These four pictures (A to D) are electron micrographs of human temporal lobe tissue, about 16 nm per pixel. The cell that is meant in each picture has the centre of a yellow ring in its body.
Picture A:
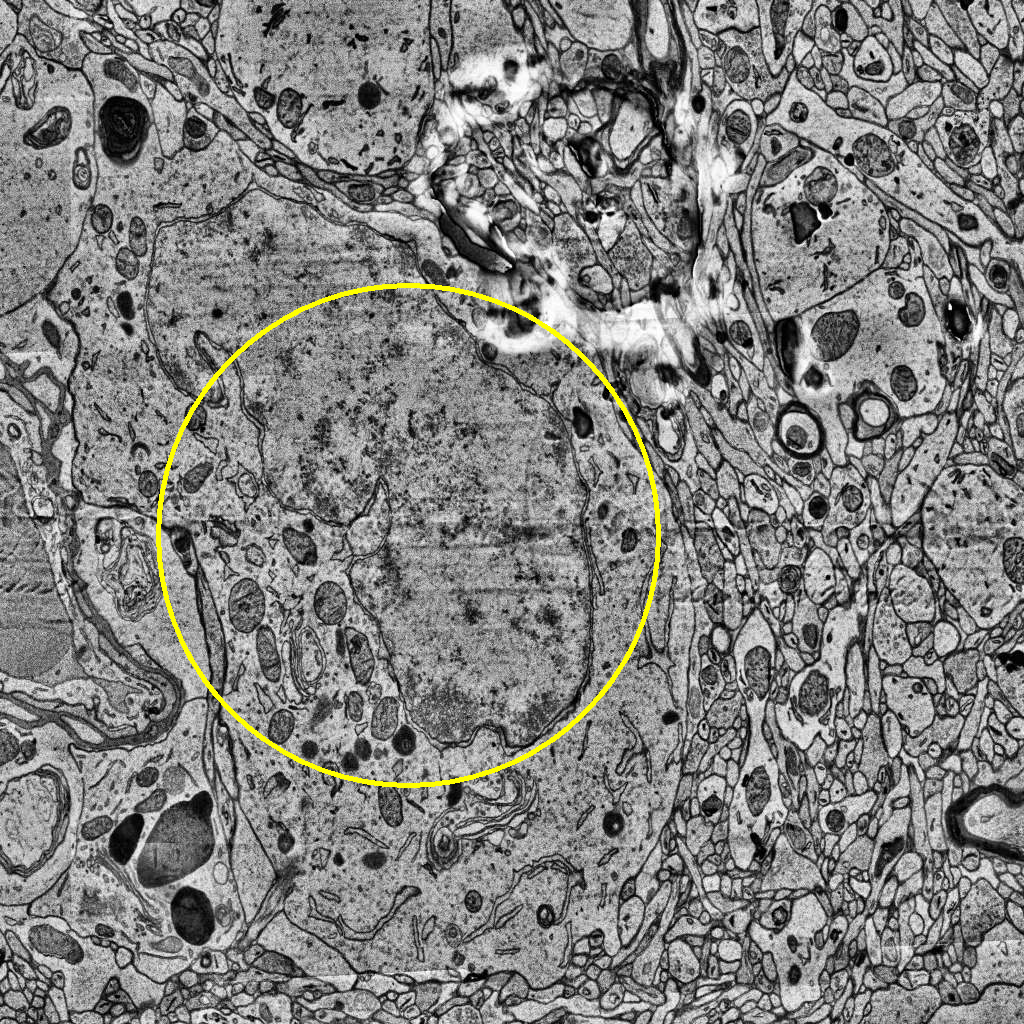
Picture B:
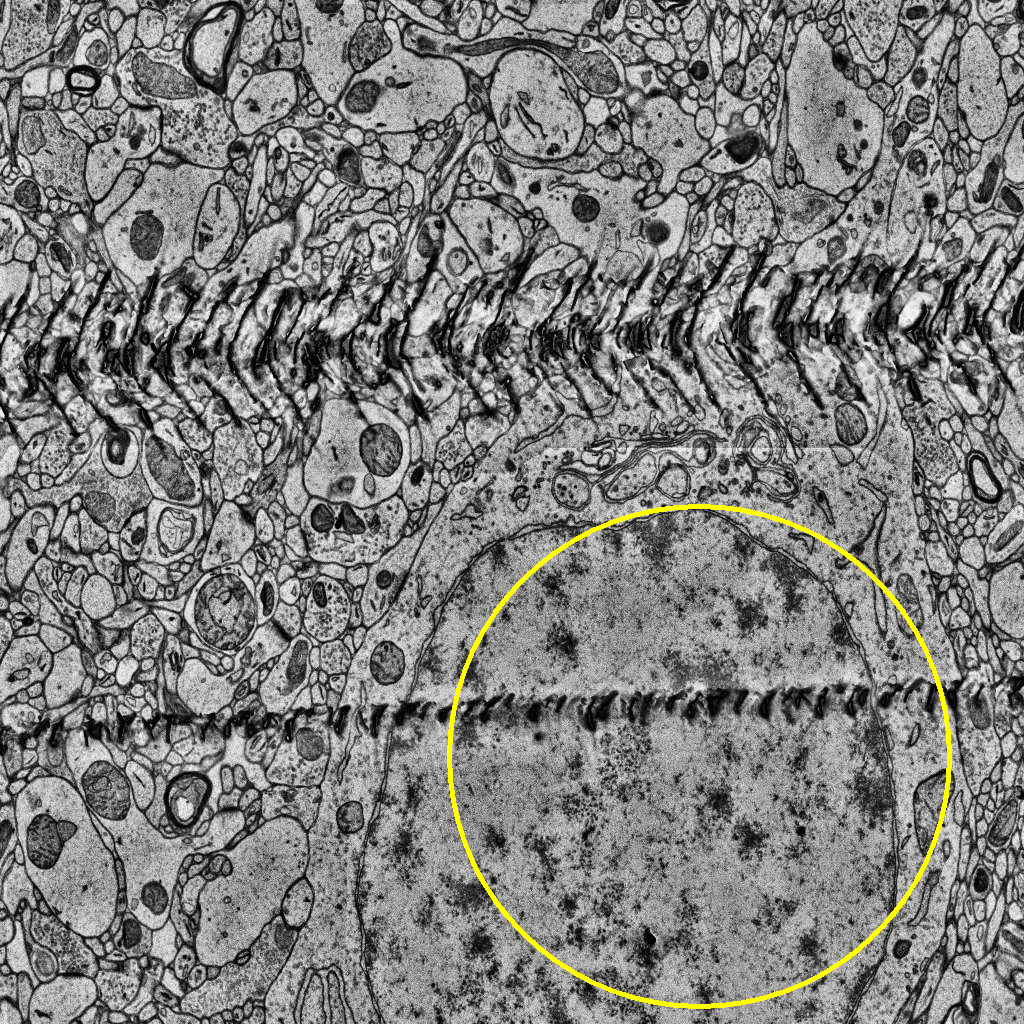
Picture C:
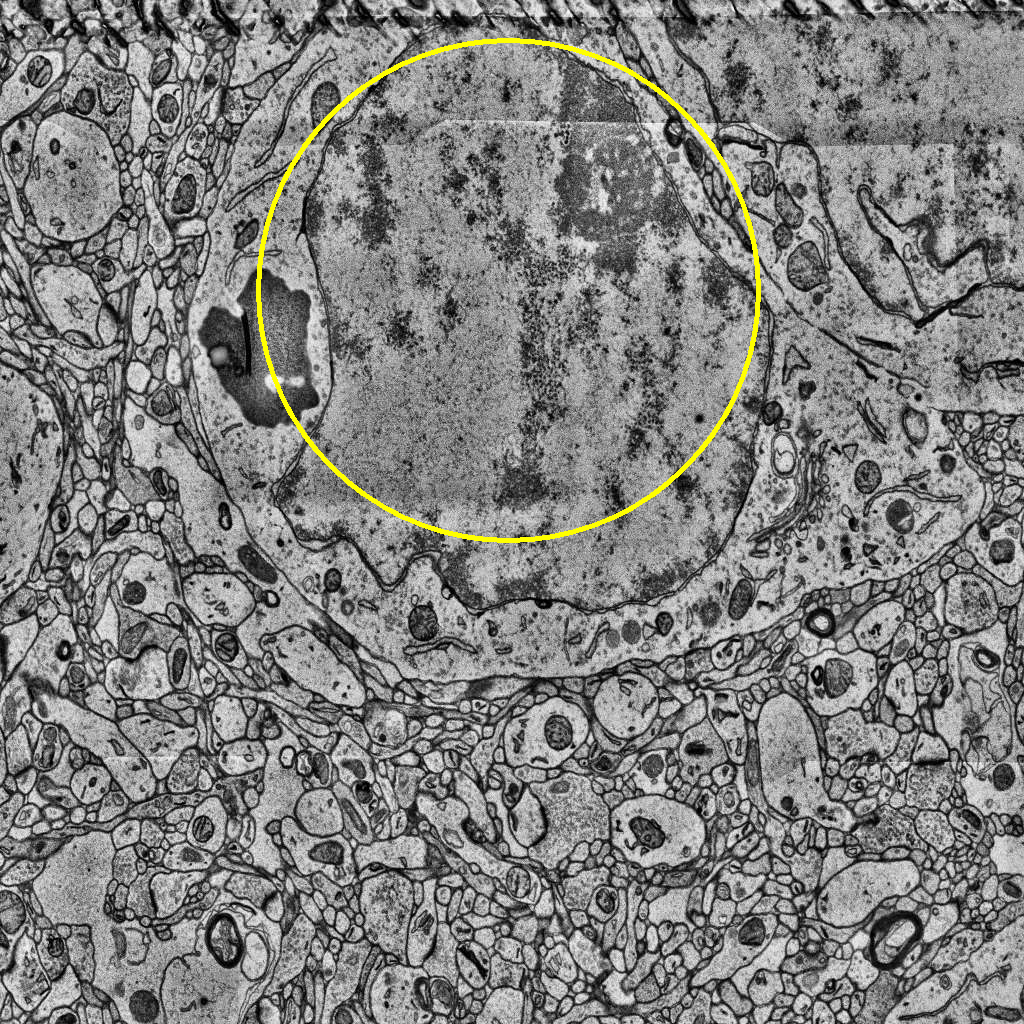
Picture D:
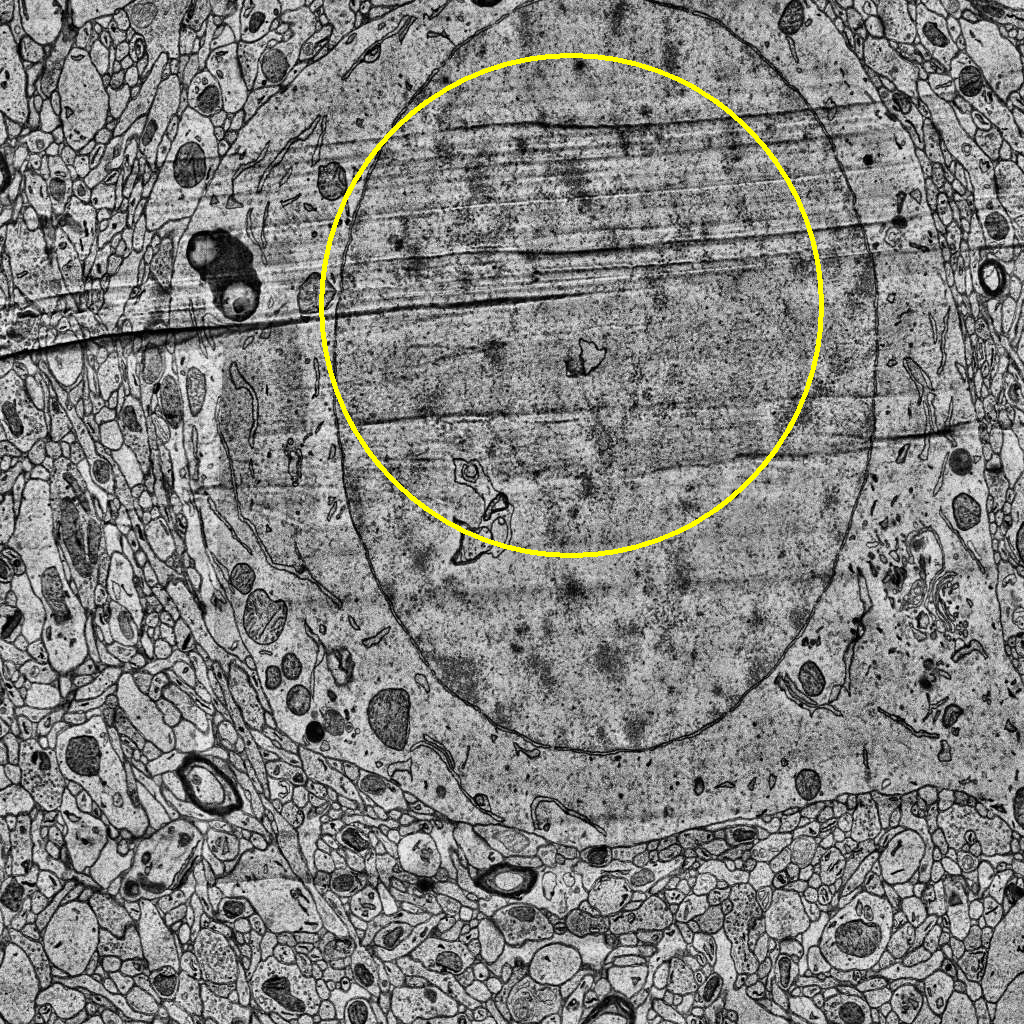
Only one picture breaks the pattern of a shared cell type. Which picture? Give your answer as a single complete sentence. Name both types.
Picture D differs, because its cell is a pyramidal neuron and the rest are interneurons.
